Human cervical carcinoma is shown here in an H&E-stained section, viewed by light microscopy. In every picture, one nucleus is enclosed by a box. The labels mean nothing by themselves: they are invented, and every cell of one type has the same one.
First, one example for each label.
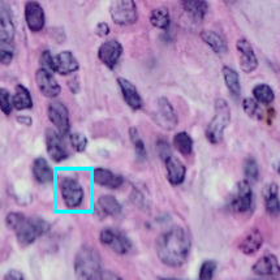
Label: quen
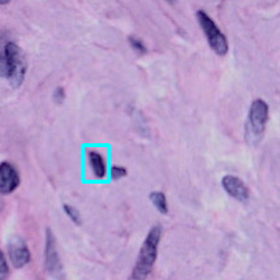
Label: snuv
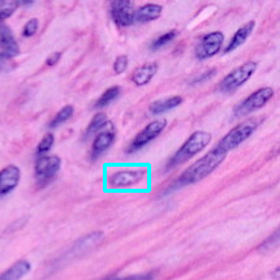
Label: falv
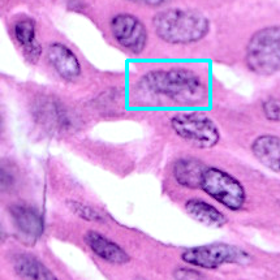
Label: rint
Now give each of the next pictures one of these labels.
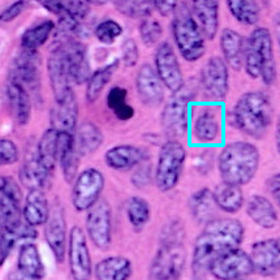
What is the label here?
rint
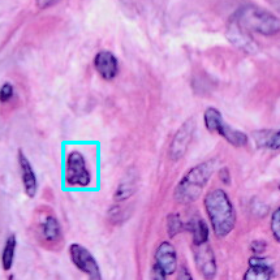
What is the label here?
quen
